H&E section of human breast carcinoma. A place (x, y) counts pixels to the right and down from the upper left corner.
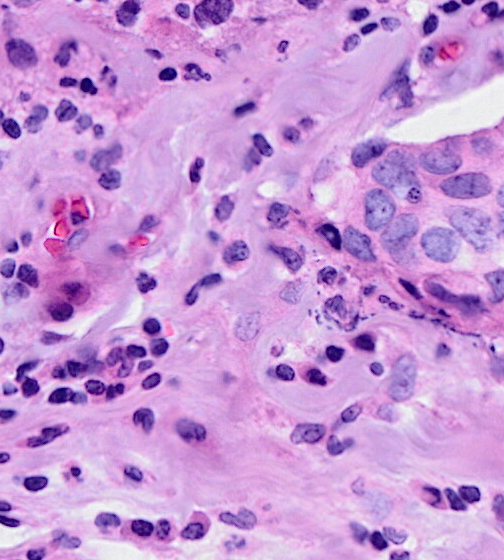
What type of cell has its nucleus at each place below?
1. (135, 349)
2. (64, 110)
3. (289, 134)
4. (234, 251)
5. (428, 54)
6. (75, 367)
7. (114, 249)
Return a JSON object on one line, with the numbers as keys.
{"1": "lymphocyte", "2": "lymphocyte", "3": "mast cell", "4": "mast cell", "5": "endothelial cell", "6": "lymphocyte", "7": "endothelial cell"}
